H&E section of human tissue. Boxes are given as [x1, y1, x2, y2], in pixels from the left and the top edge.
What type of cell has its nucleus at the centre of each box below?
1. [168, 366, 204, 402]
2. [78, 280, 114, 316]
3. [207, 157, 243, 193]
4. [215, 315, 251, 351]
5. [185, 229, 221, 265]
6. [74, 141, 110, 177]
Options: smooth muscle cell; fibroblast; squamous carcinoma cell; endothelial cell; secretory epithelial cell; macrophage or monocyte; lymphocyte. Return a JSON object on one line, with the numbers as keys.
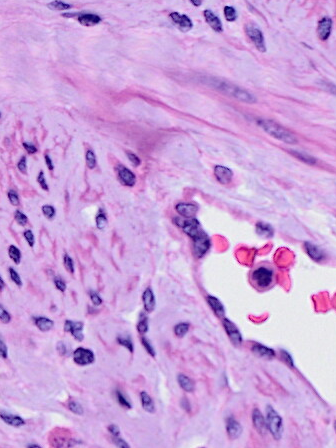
{"1": "smooth muscle cell", "2": "smooth muscle cell", "3": "macrophage or monocyte", "4": "endothelial cell", "5": "endothelial cell", "6": "smooth muscle cell"}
